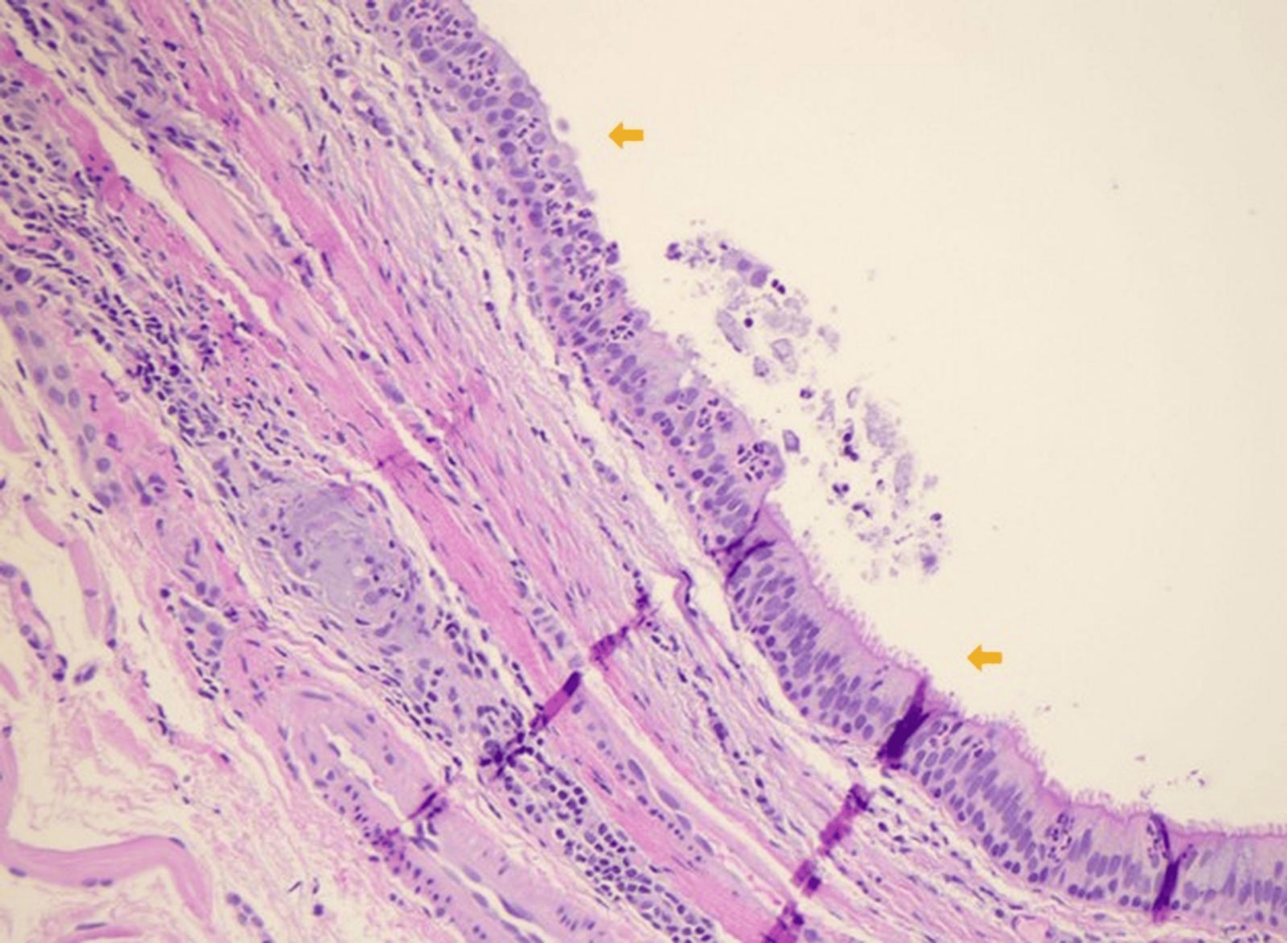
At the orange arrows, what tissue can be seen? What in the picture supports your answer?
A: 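Tall columnar cells line the luminal surface. Nuclei lie at several different heights within a single epithelial layer. A fringe of fine hair-like projections is visible on the apical surface.
Hence: pseudostratified ciliated columnar epithelium.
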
